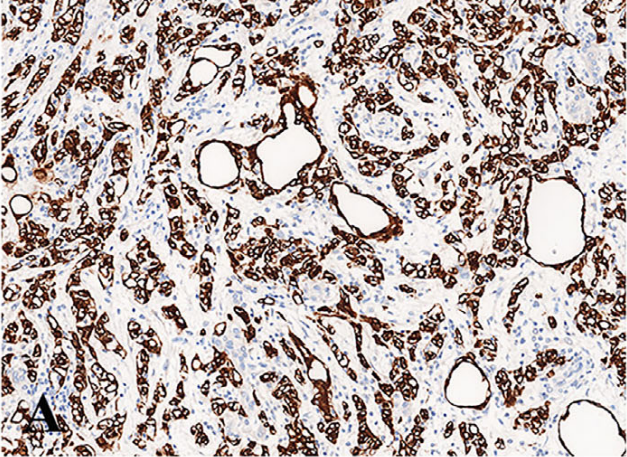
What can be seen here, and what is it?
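Tumor cells are arranged in anastomosing cords, small nests and narrow strands. Their cytoplasm and cell borders are stained dark brown. They lie in a pale, loose stroma whose scattered nuclei are blue and unstained. Several rounded, empty, cyst-like spaces of varying size are lined by a thin rim of flattened brown-stained cells.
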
